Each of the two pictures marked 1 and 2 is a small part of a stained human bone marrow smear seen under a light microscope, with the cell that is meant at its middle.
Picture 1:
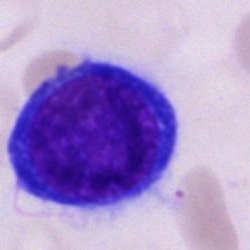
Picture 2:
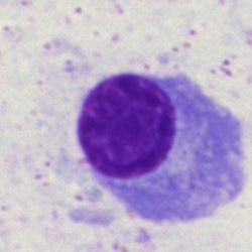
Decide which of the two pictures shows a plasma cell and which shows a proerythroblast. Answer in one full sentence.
The cell in picture 1 is a proerythroblast, and the one in picture 2 is a plasma cell.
